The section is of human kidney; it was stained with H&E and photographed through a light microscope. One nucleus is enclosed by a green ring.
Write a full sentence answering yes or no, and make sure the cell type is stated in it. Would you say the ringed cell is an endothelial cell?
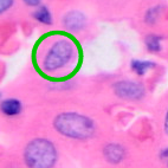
No, the ringed cell is correctly named a collecting duct cell; it is not an endothelial cell.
